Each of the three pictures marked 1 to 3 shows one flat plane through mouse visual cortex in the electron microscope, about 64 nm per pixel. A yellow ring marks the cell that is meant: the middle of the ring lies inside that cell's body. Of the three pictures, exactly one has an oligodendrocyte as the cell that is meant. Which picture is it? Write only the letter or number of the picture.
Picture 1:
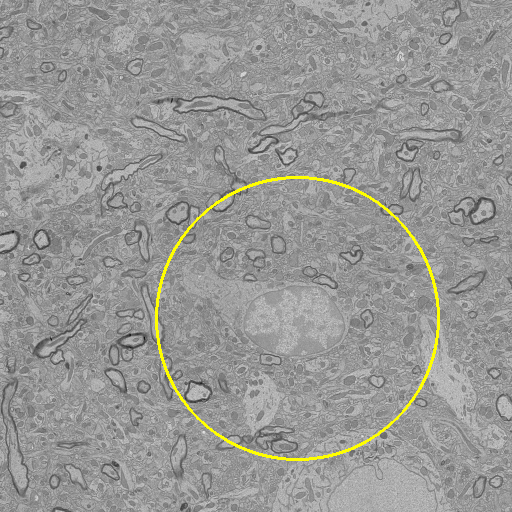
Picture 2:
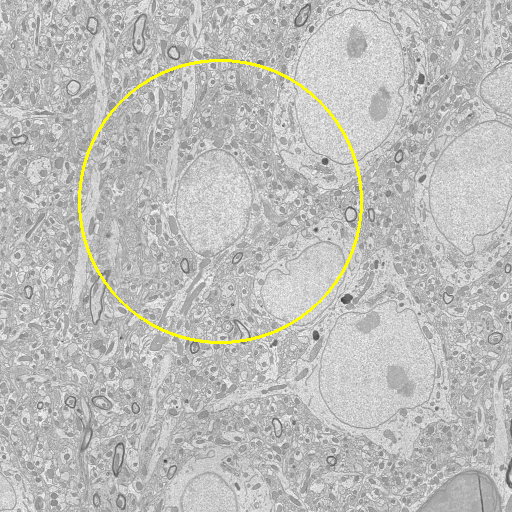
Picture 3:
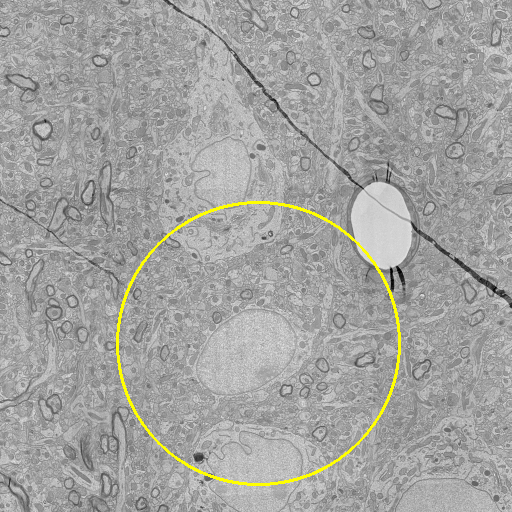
1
